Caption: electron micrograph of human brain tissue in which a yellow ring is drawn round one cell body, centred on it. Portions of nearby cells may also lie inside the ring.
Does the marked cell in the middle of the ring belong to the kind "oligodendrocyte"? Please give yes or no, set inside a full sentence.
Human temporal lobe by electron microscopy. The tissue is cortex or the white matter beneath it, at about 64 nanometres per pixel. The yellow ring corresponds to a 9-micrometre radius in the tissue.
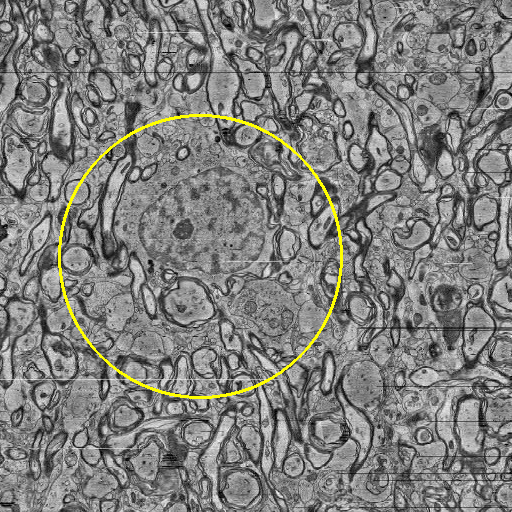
Yes, the marked cell that the ring is centred on in the picture is of that kind.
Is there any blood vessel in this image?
No.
